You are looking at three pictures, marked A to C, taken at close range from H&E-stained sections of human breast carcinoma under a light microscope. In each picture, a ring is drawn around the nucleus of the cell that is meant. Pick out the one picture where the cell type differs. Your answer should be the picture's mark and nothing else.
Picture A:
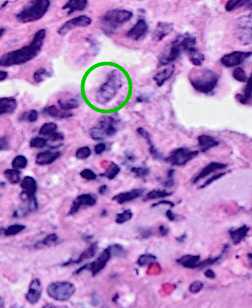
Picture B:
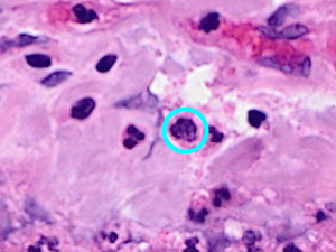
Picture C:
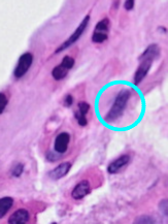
C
